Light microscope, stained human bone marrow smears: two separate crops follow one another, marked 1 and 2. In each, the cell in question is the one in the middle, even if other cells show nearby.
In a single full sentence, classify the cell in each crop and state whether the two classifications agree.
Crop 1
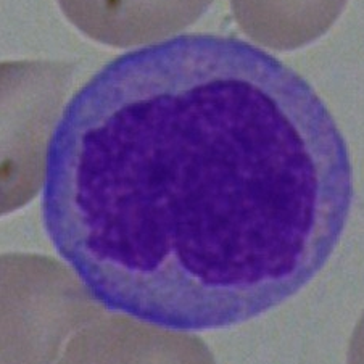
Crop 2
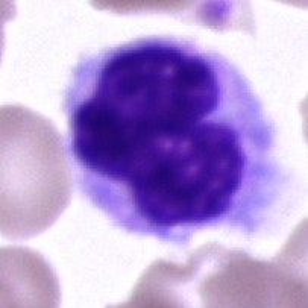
Yes, both crops depict monocytes at the centre.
